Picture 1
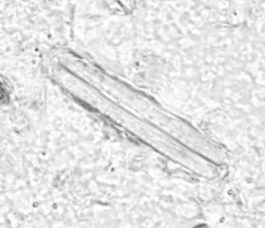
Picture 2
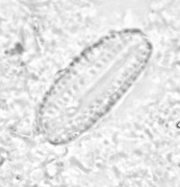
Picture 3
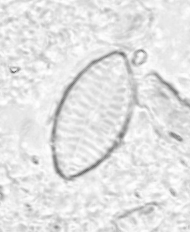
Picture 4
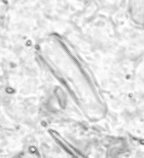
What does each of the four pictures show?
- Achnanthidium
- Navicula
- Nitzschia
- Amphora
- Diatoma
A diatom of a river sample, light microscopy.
(1) Nitzschia
(2) Amphora
(3) Navicula
(4) Achnanthidium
